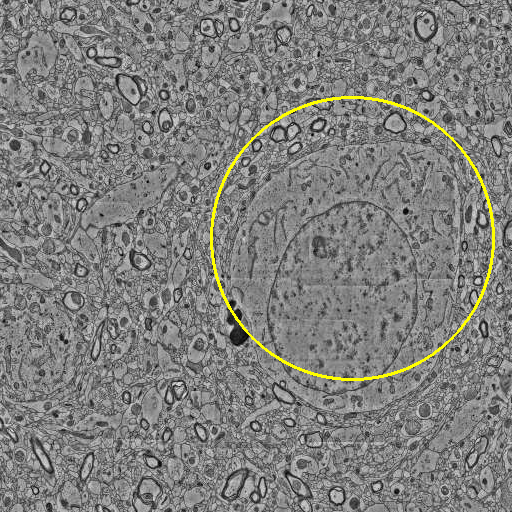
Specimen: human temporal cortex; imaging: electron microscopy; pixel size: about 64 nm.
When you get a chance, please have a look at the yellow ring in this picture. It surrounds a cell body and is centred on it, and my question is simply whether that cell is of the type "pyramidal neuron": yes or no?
Yes, the cell is of that type.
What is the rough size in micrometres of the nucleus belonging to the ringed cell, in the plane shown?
Roughly 12 by 10 micrometres in this plane, for the nucleus of the ringed cell.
